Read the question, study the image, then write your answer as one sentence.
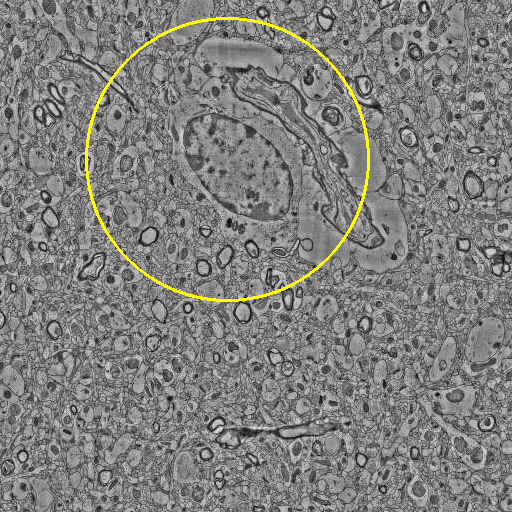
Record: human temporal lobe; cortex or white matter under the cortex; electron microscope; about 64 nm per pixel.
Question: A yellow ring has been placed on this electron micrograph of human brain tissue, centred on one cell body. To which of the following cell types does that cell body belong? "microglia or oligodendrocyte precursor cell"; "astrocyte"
That cell body belongs to a microglial cell or oligodendrocyte precursor cell.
